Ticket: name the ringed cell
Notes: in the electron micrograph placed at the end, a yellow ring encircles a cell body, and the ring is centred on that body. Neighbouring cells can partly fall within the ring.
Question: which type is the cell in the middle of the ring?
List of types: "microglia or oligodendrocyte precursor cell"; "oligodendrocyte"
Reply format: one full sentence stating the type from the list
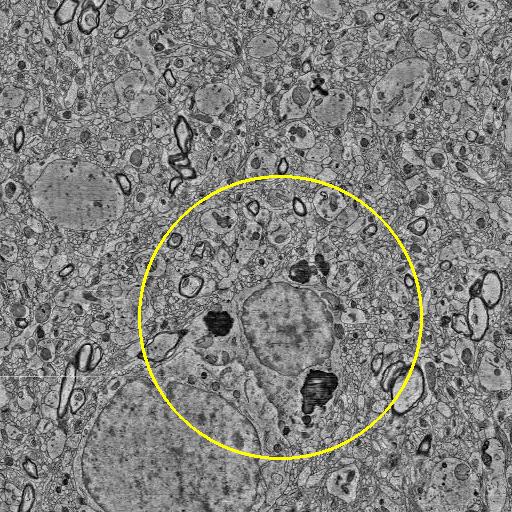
The cell sitting at the centre of the yellow ring is an oligodendrocyte.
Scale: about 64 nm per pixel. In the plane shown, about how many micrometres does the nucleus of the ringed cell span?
Approximately 7 x 6 micrometres in this plane.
